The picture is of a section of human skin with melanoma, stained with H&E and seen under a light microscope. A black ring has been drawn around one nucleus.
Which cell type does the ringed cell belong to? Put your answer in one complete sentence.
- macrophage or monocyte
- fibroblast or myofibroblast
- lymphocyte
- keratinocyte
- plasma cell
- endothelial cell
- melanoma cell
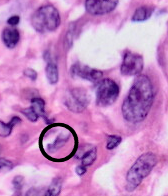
This is an endothelial cell.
